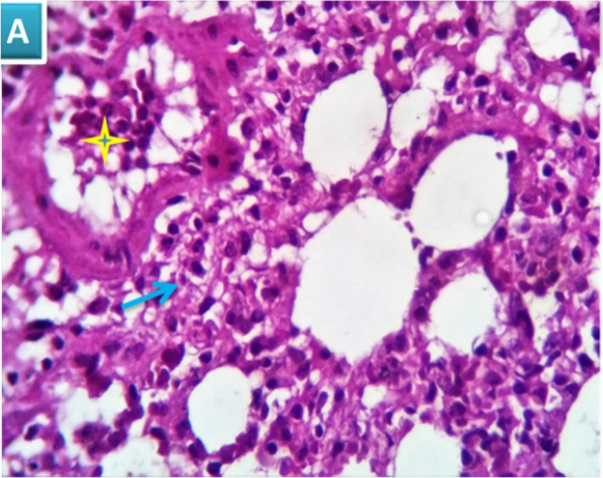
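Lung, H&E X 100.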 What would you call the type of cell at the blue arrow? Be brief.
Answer: Inflammatory cells.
